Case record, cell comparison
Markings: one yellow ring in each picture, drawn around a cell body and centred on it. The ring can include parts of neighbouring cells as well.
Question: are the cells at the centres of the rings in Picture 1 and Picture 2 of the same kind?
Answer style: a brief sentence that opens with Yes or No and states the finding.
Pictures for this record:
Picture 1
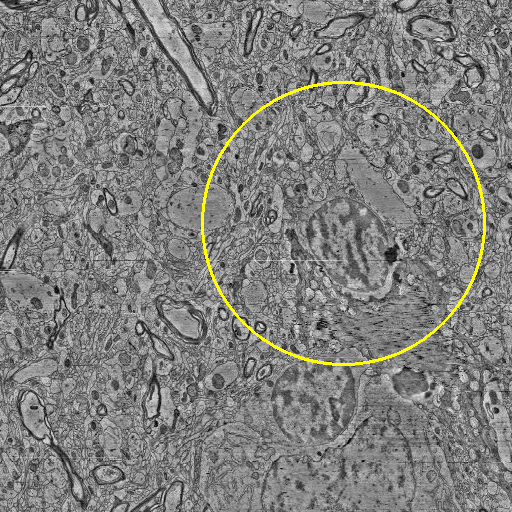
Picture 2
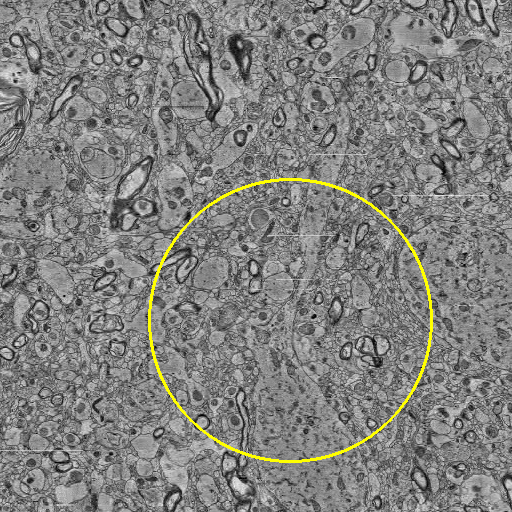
No, the cells in Picture 1 and Picture 2 are of two kinds.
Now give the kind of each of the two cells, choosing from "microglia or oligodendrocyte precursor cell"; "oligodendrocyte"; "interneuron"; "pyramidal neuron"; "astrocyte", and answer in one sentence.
The cell in the first picture is an oligodendrocyte, and the cell in the second is a microglial cell or oligodendrocyte precursor cell.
